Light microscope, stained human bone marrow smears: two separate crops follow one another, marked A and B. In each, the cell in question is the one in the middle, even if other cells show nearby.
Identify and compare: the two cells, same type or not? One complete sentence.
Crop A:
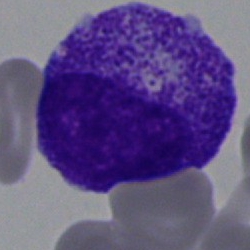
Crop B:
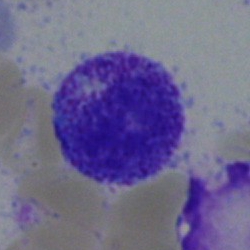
Yes, both of the crops in this pair show myelocytes, one cell in each crop.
